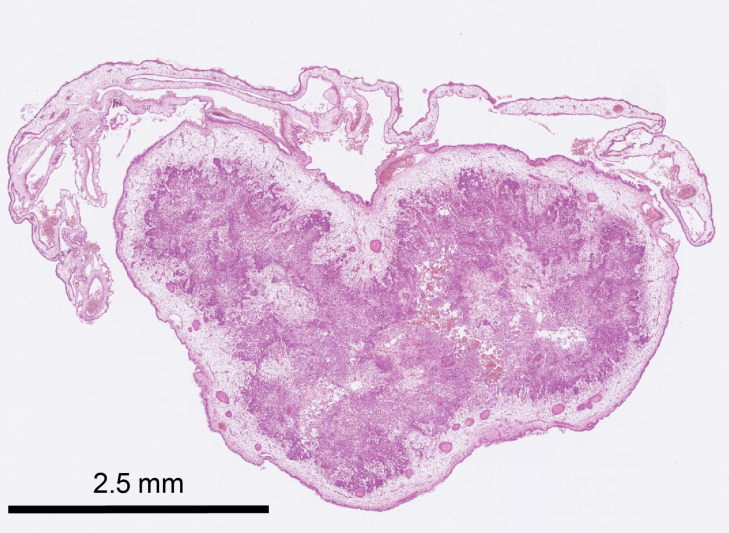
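A large, heart-shaped mass of tightly packed, purple-staining cells is seen, edged by a thin paler rim and overlain by thin, folded pink membranes with small vessels. Within the mass, denser purple areas alternate with paler, pinker patches and some red blood-filled spaces.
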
